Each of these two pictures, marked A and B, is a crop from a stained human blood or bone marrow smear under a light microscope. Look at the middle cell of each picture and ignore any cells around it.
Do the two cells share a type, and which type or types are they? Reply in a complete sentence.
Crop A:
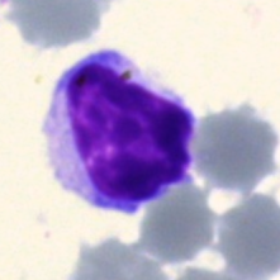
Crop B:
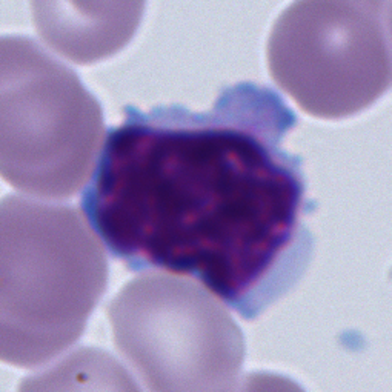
Yes, lymphocytes are centred in both crops.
